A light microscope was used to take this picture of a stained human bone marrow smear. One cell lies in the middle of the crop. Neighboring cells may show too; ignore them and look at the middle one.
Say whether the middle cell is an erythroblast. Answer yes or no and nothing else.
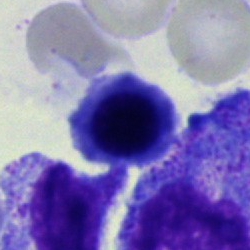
yes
